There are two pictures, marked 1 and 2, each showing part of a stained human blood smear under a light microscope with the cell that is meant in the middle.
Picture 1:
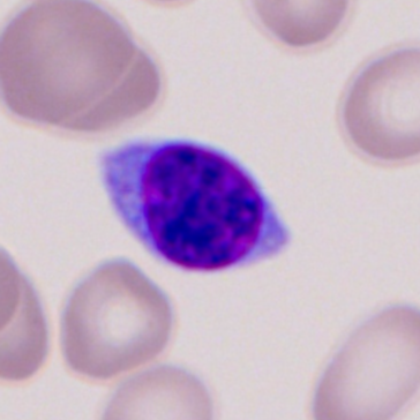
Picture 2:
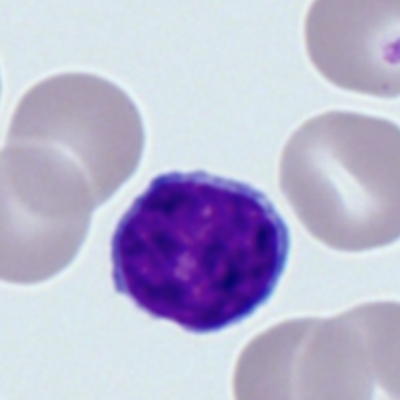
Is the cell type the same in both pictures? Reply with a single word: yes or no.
yes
